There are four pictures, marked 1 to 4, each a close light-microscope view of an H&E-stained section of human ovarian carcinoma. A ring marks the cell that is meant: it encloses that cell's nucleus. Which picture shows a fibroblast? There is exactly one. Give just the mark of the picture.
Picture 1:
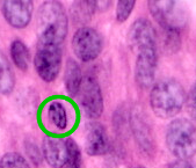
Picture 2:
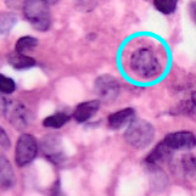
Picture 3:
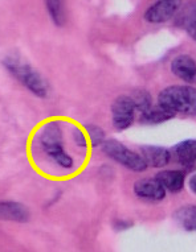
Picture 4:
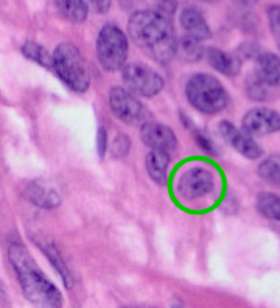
3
